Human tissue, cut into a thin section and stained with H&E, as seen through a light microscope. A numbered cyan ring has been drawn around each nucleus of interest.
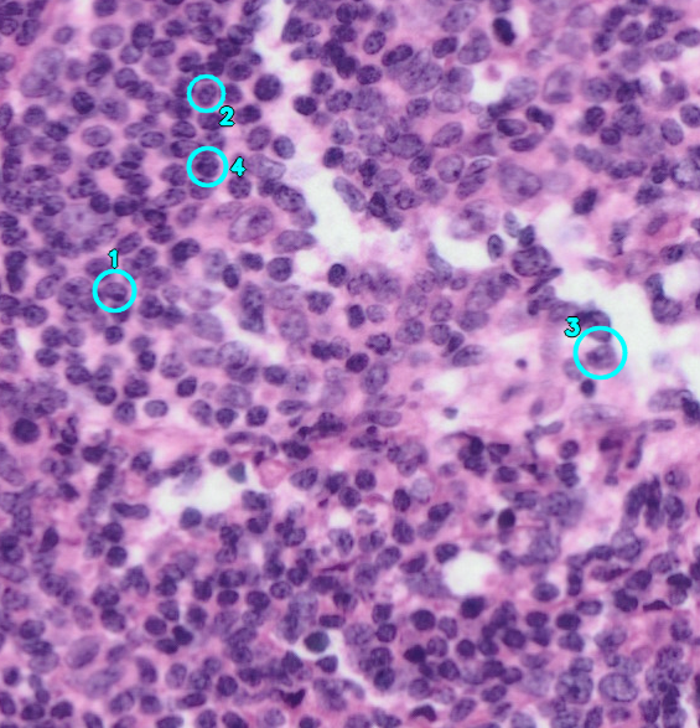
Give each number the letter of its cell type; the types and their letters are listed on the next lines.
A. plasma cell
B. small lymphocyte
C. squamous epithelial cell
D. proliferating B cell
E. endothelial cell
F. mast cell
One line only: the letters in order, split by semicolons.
B; B; D; B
